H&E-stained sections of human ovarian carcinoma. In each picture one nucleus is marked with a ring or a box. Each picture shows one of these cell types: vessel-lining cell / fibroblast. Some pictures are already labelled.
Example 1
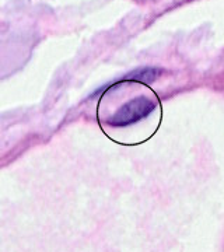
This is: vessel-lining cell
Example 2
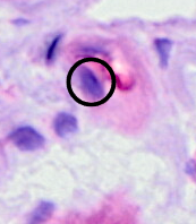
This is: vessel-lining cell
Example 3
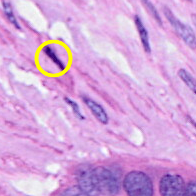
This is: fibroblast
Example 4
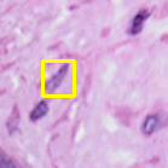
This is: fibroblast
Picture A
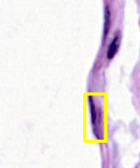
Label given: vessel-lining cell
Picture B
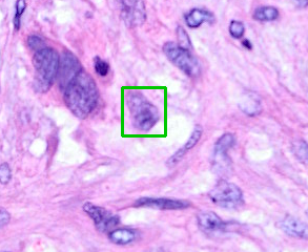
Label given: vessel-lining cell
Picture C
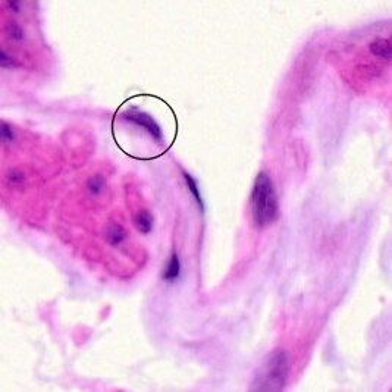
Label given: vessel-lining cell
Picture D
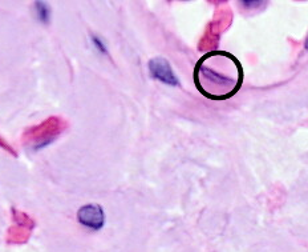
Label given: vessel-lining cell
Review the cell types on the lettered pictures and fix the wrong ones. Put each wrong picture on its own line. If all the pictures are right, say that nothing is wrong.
B is labelled vessel-lining cell; correct label: fibroblast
